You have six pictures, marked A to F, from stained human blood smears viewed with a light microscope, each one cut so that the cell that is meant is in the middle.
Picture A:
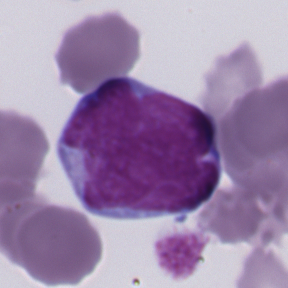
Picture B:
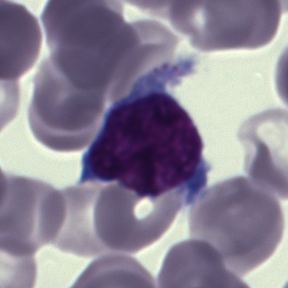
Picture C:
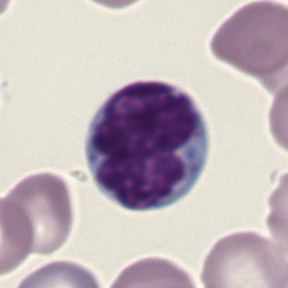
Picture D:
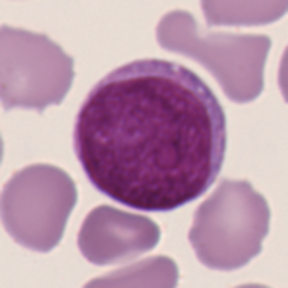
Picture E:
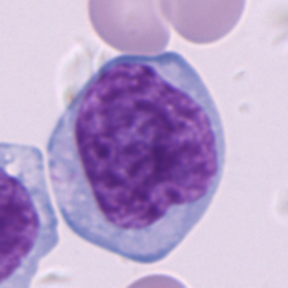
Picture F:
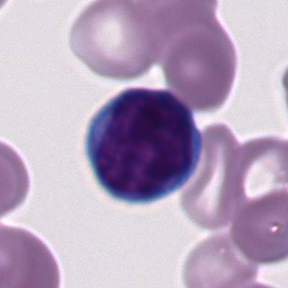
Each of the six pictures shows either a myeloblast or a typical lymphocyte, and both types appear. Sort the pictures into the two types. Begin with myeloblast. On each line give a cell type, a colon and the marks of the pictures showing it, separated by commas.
myeloblast: A, D, E
typical lymphocyte: B, C, F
